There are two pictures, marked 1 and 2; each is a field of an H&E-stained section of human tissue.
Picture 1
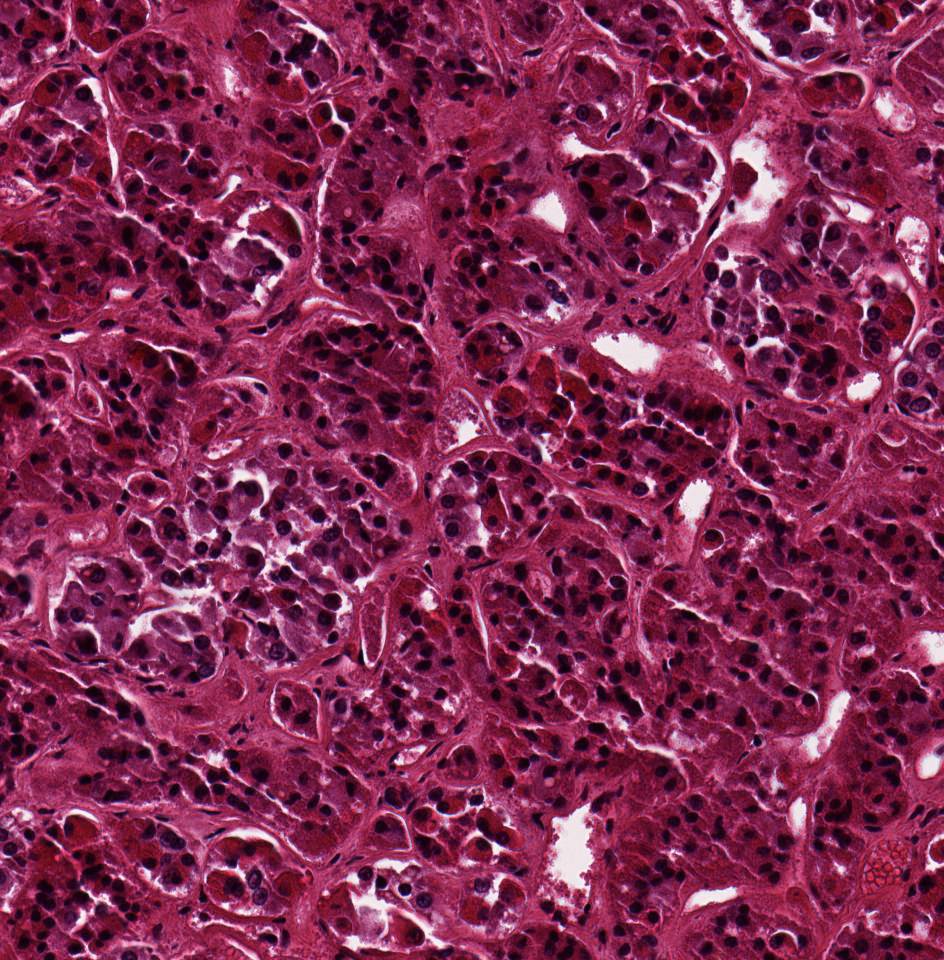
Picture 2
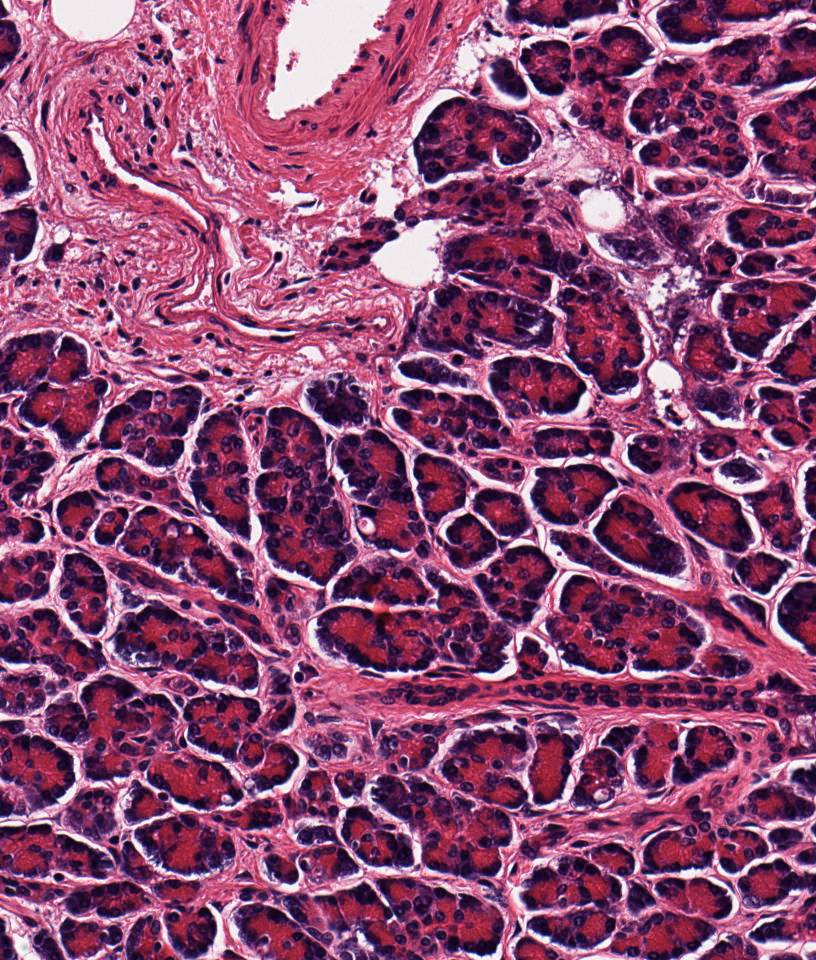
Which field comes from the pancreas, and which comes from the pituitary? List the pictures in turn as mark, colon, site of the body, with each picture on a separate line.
1: pituitary
2: pancreas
